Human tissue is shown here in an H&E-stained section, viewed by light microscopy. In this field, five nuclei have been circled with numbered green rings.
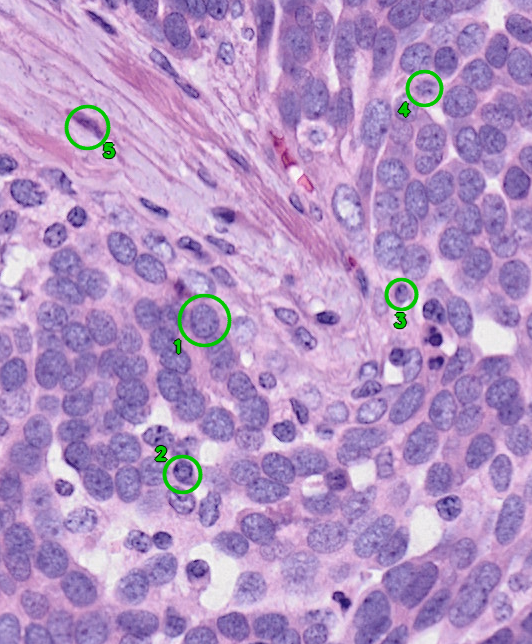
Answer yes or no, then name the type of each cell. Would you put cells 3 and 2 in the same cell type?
Yes, both are macrophages or monocytes.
